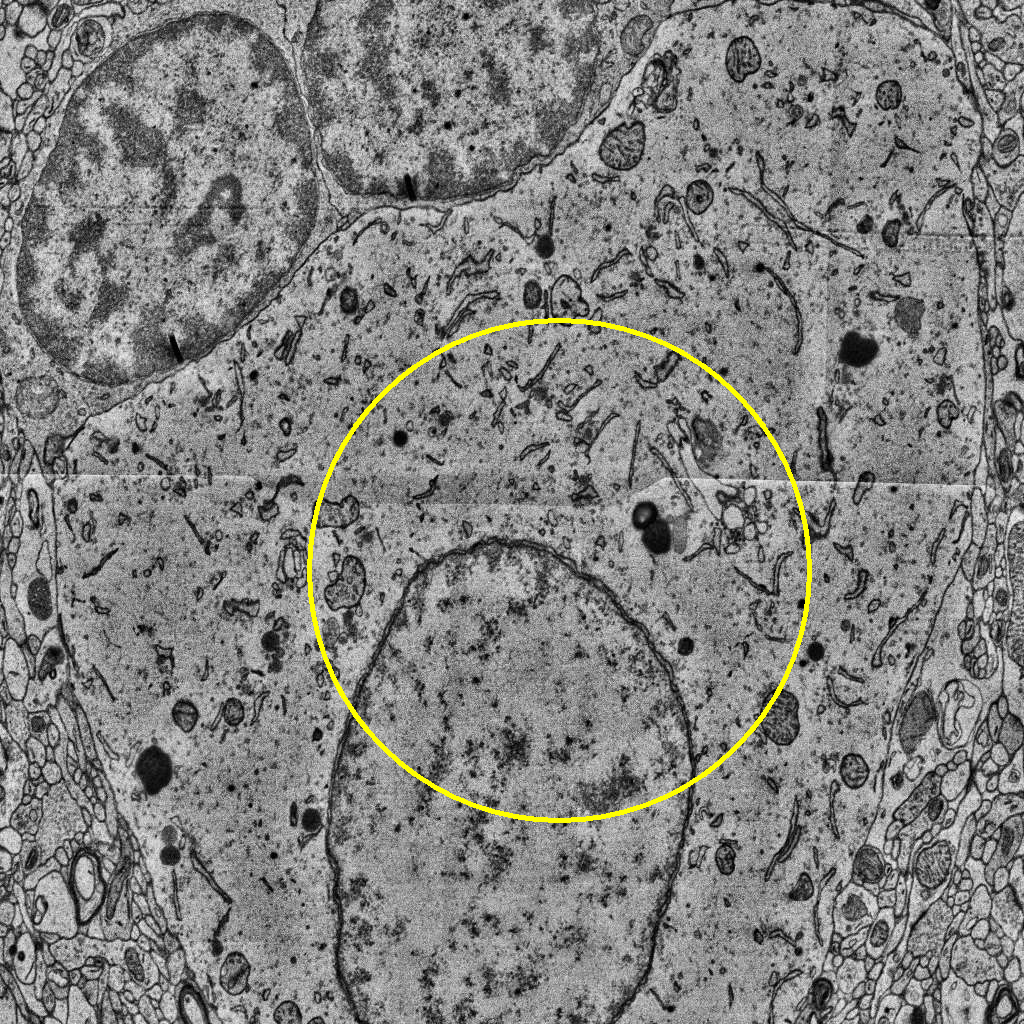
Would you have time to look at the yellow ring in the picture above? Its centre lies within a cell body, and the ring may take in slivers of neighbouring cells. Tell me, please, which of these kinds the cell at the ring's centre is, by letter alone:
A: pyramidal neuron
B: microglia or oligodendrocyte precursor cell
A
